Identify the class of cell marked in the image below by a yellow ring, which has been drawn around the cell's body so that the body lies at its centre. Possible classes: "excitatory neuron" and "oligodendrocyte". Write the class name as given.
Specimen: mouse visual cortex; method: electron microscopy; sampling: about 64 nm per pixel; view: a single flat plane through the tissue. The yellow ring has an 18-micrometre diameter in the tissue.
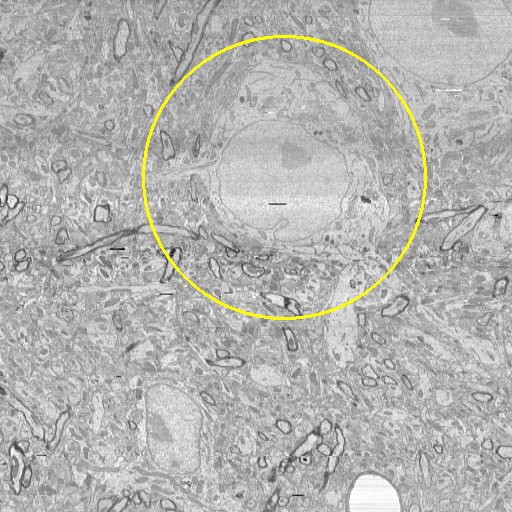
excitatory neuron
